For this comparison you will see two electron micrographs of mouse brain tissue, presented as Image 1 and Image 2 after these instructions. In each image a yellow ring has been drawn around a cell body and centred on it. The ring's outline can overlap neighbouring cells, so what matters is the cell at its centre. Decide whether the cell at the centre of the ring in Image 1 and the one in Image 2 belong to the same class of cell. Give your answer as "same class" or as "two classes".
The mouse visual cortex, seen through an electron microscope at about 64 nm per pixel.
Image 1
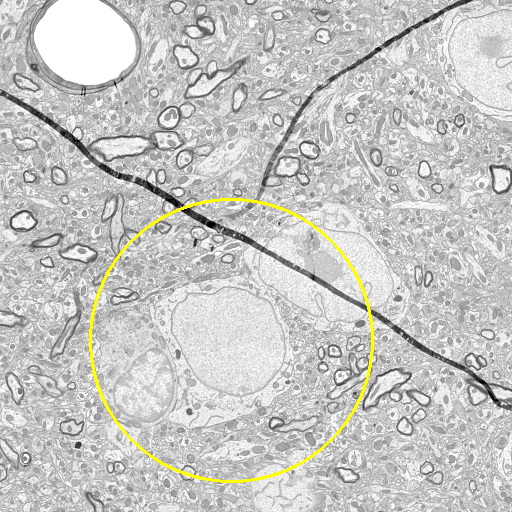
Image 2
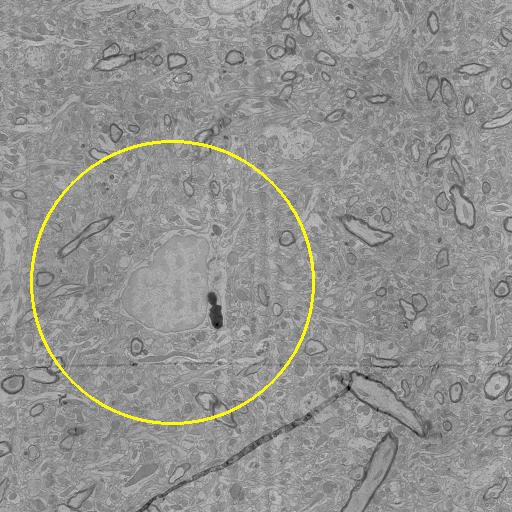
two classes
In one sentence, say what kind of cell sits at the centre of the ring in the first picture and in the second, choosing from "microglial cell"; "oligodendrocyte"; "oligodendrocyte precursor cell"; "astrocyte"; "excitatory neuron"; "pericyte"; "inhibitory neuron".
The first picture's ringed cell is an excitatory neuron, while the second picture's is a microglial cell.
